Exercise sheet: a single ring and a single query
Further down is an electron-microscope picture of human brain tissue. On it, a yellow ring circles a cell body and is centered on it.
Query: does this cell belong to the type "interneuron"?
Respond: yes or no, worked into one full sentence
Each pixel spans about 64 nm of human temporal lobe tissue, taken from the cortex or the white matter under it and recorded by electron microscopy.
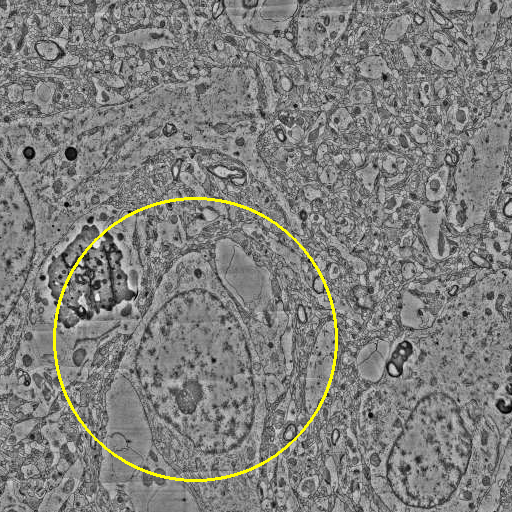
Yes, this ringed cell, found at the center of the ring in the picture, is of that type.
